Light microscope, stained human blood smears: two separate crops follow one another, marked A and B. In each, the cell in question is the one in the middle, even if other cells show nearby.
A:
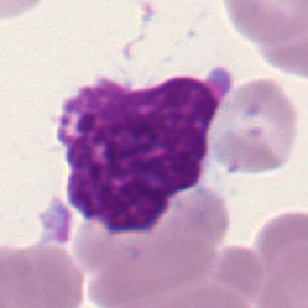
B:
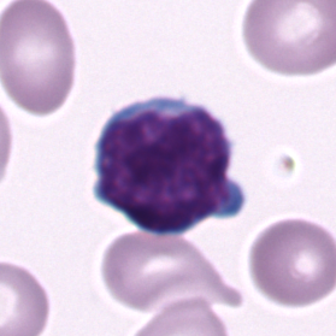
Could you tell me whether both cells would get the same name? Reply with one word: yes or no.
no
